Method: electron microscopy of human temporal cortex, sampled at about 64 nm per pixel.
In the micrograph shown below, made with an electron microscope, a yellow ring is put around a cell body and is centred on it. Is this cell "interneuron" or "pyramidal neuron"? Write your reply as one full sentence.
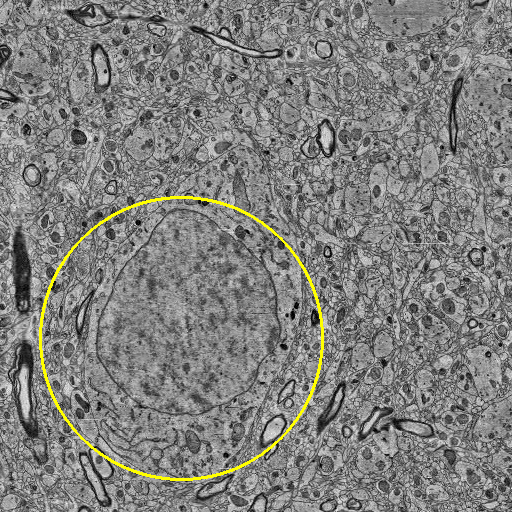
In the micrograph, a pyramidal neuron is the cell at the centre of the yellow ring.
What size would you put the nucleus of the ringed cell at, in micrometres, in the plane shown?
The ringed cell's nucleus measures approximately 14 by 12 micrometres in this plane.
